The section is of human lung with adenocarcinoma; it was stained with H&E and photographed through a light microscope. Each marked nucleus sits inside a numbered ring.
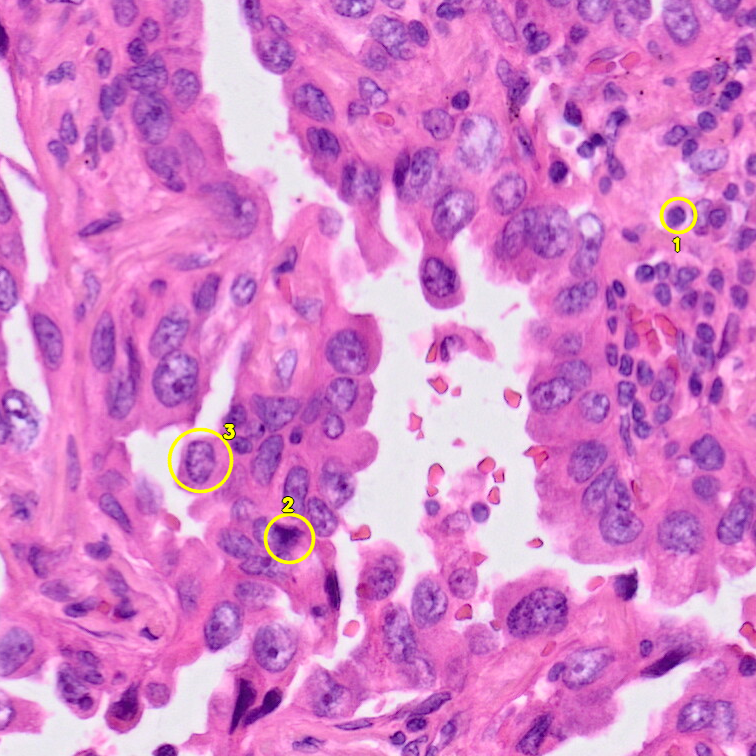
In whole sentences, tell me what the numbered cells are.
Cell 1 is a lymphocyte. Cells 2 and 3 are carcinoma cells.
